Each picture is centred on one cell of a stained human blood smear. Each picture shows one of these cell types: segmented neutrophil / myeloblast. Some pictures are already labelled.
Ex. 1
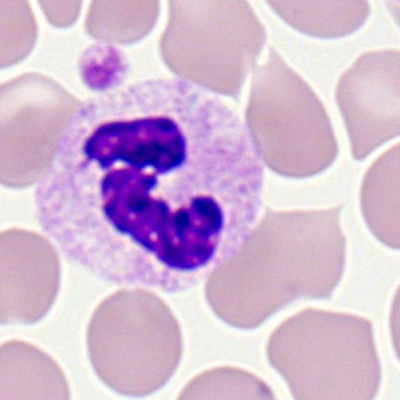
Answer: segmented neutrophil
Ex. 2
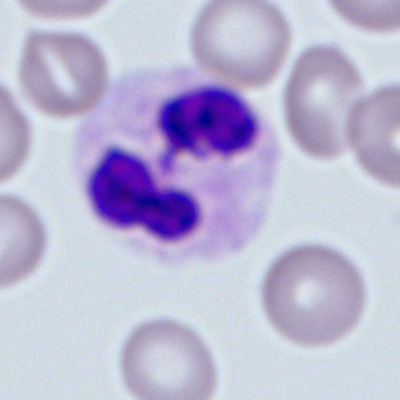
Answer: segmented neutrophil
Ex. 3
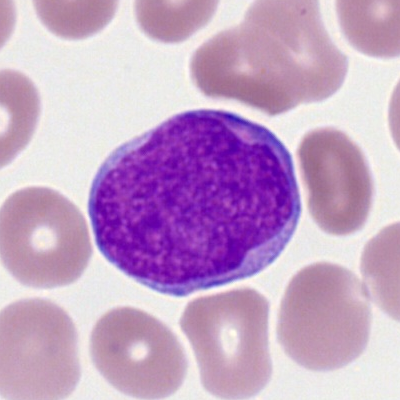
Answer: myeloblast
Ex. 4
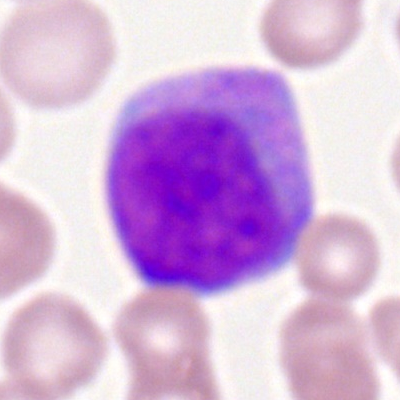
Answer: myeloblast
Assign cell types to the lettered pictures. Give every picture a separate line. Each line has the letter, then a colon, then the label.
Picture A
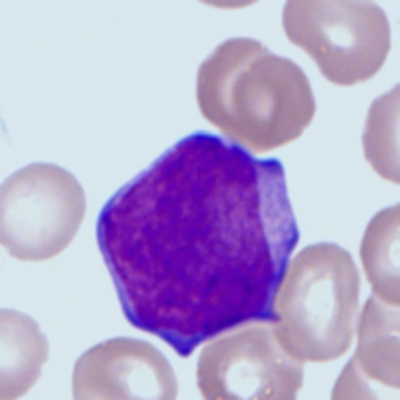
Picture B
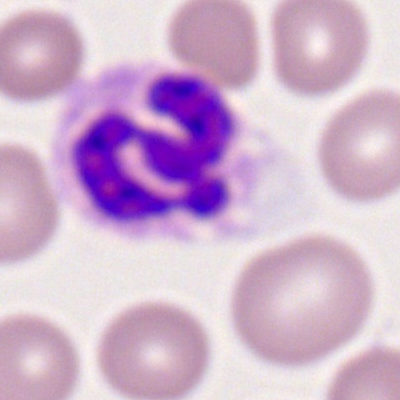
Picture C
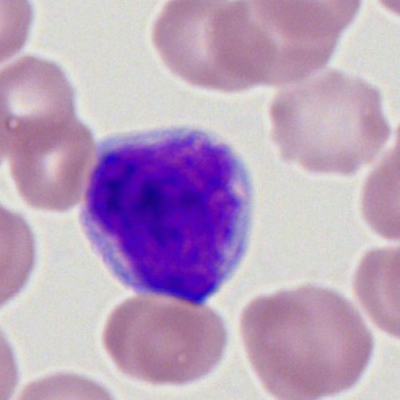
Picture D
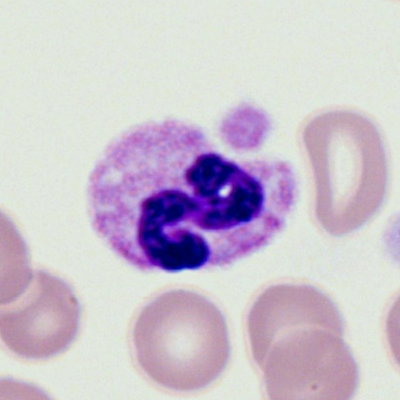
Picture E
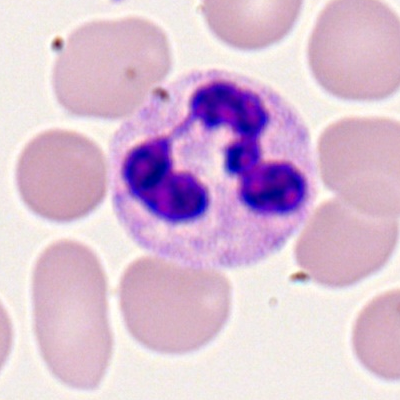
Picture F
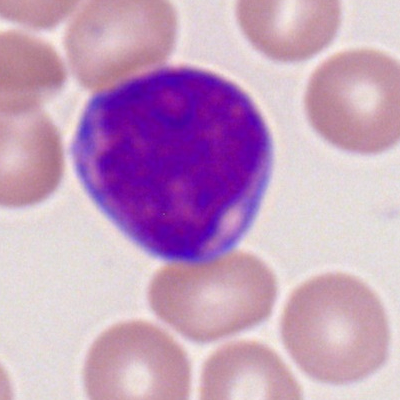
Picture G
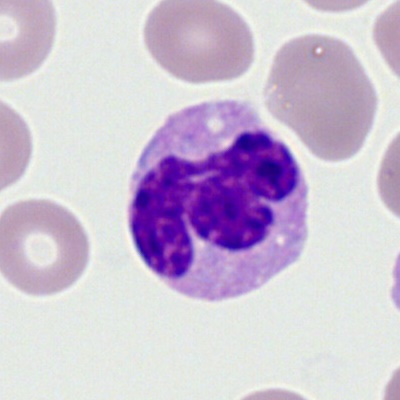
A: myeloblast
B: segmented neutrophil
C: myeloblast
D: segmented neutrophil
E: segmented neutrophil
F: myeloblast
G: segmented neutrophil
